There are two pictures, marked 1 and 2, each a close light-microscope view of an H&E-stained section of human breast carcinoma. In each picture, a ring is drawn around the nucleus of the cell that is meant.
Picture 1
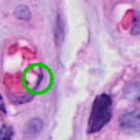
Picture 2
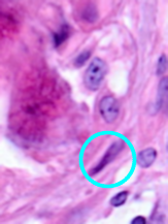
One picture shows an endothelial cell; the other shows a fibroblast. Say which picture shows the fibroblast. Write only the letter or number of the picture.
2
